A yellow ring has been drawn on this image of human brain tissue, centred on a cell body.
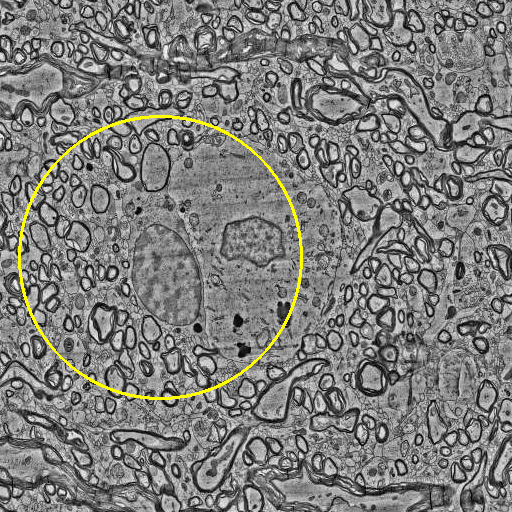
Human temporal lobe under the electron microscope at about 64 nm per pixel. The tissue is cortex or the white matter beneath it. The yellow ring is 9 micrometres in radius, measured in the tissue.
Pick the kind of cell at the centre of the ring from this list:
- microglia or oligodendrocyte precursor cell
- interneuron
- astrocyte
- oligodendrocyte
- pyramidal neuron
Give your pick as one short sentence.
The centre of the ring holds an oligodendrocyte.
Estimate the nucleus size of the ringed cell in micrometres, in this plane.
About 7 by 5 micrometers, in this plane.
